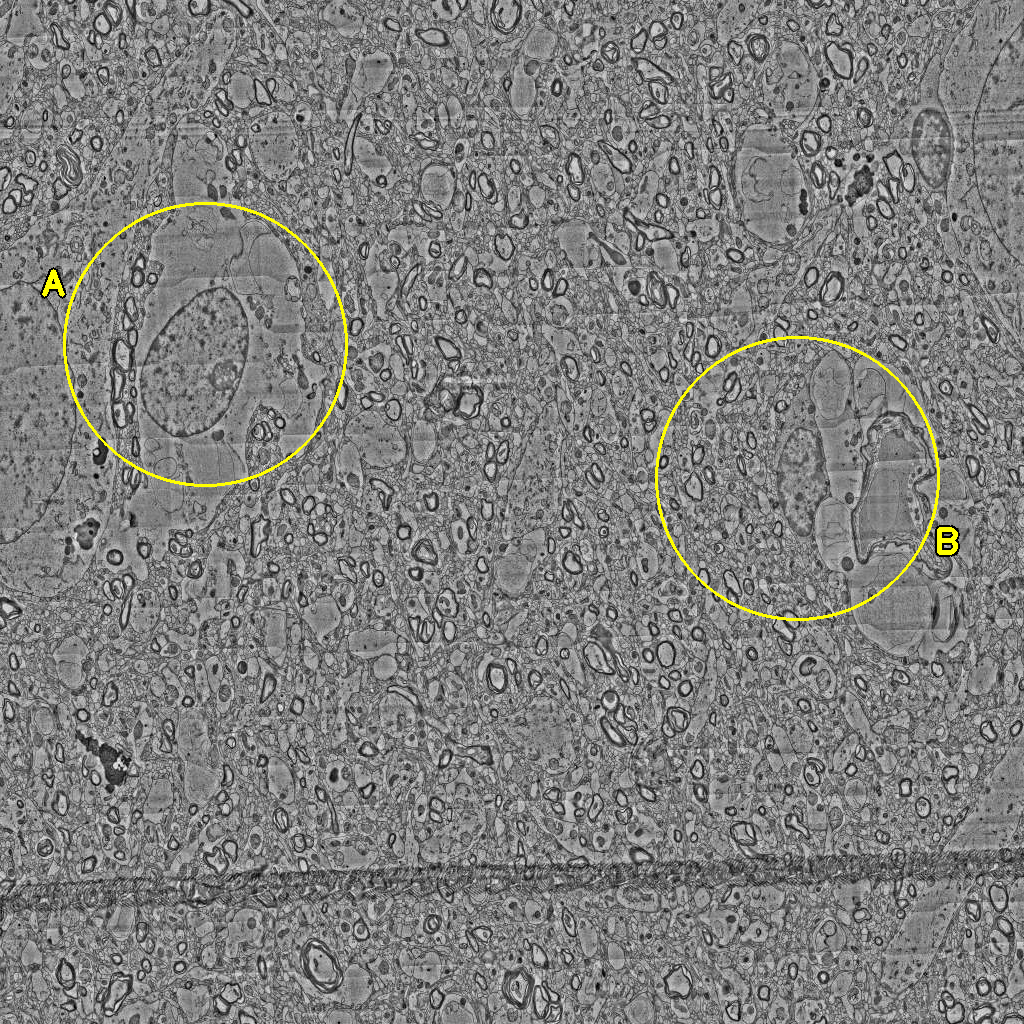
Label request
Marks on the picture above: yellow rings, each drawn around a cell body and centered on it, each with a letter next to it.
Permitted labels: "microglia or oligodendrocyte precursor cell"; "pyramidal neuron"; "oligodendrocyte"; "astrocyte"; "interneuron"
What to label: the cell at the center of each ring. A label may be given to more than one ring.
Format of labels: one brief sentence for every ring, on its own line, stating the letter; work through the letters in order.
The cell at the center of ring A is an astrocyte.
The cell at the center of ring B is an oligodendrocyte.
